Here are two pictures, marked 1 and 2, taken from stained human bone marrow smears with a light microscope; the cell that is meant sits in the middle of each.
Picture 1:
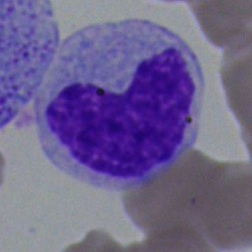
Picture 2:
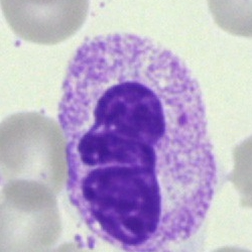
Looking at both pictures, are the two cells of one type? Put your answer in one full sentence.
No, the types are not the same, since picture 1 shows a metamyelocyte and picture 2 a segmented neutrophil.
